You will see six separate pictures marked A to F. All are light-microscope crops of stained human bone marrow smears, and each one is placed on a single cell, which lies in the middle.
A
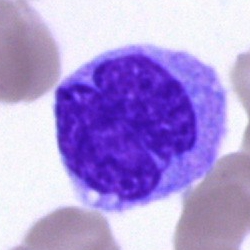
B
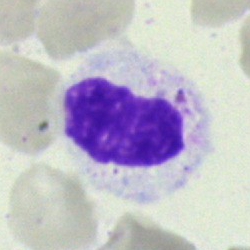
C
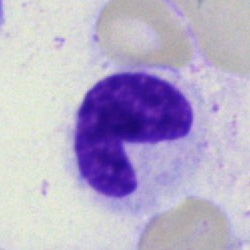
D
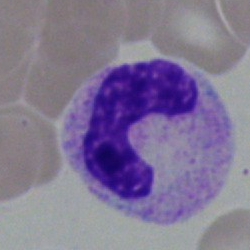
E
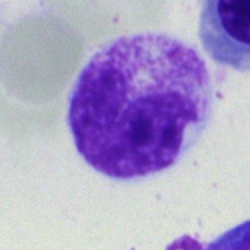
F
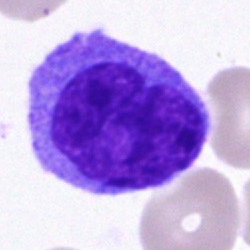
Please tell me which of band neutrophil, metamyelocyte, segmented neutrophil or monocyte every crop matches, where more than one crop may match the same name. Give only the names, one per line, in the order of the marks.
monocyte
metamyelocyte
band neutrophil
band neutrophil
band neutrophil
monocyte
